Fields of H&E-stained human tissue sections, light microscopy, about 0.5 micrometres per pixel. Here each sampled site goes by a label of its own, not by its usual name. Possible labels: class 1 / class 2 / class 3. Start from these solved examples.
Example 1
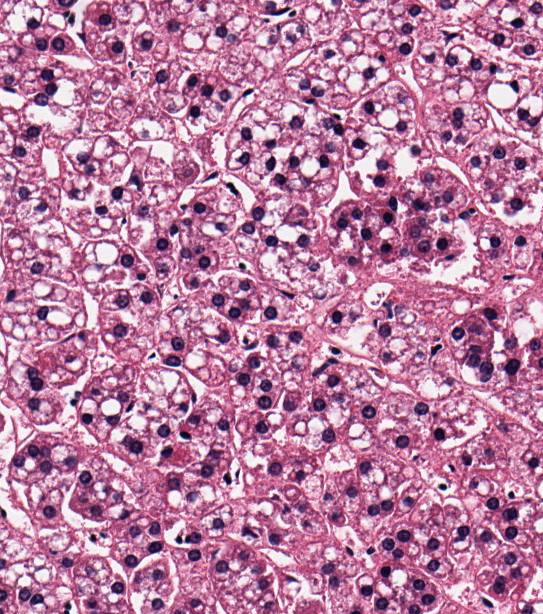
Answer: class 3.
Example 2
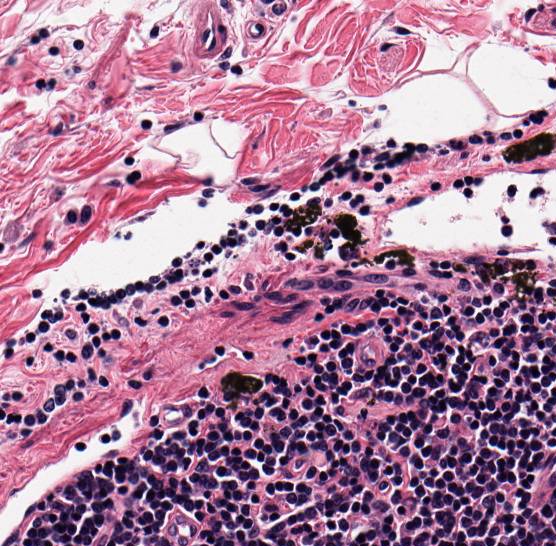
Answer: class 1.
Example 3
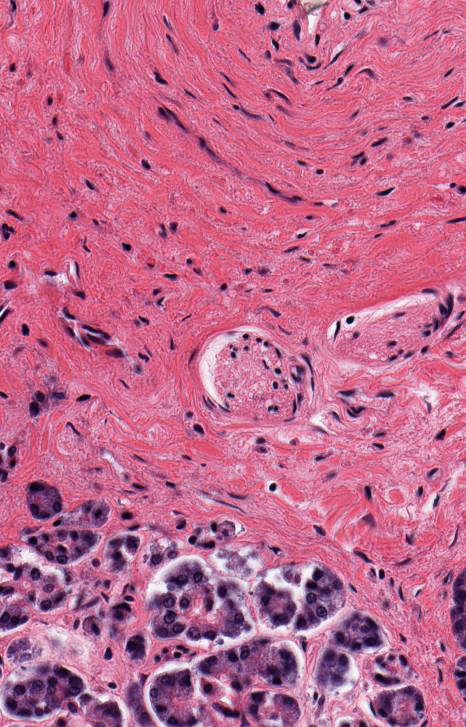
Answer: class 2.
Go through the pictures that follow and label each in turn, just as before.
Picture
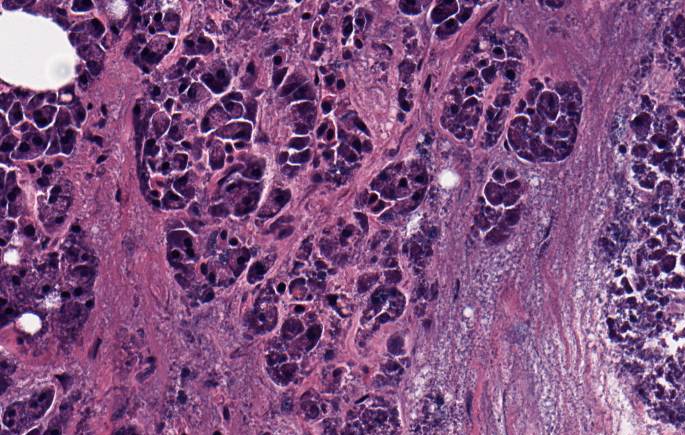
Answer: class 2.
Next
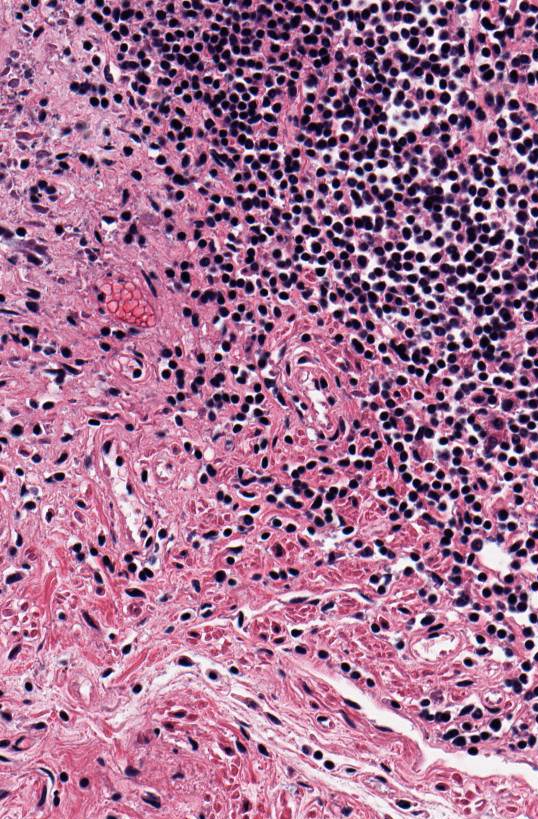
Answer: class 1.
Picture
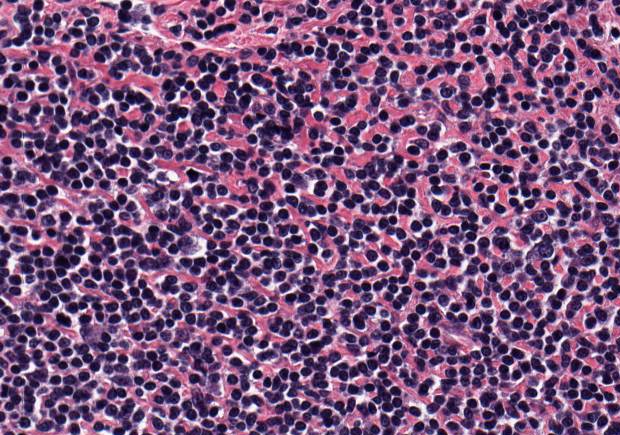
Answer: class 1.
